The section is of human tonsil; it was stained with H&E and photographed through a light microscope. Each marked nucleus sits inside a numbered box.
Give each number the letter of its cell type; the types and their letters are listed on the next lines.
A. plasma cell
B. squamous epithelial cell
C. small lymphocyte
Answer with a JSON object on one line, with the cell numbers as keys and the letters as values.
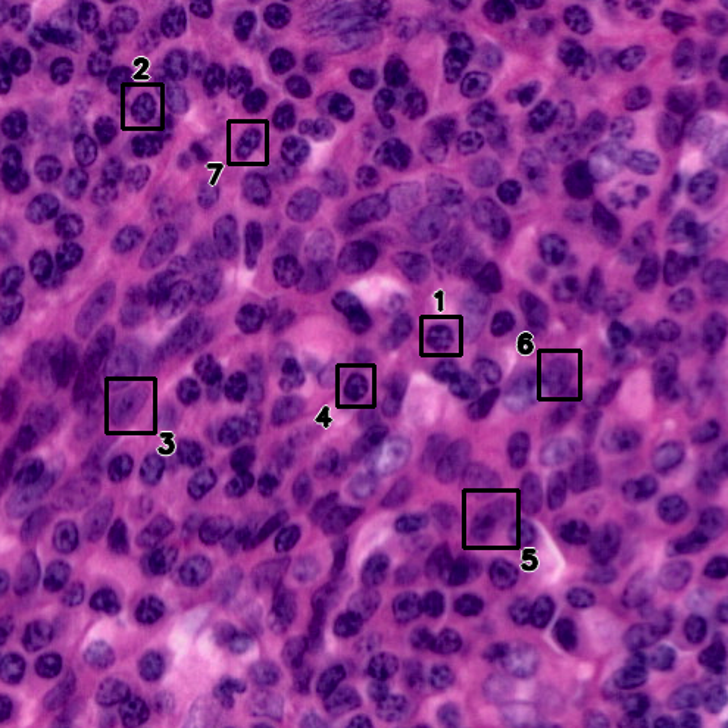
{"1": "A", "2": "A", "3": "B", "4": "A", "5": "B", "6": "B", "7": "A"}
